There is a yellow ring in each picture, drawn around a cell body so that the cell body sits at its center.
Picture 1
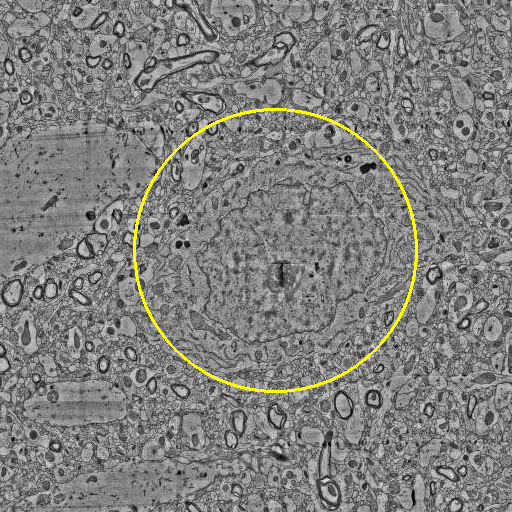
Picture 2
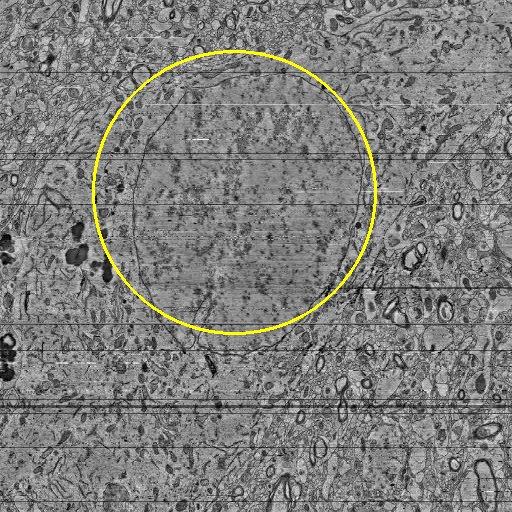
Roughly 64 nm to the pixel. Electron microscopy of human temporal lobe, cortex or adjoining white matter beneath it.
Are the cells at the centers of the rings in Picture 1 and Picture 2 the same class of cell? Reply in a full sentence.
No, the two cells are two classes of cell.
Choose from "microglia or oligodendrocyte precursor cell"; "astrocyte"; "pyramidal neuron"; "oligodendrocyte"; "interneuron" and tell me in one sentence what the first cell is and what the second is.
What the first ring is centred on is an interneuron; what the second ring is centred on is a pyramidal neuron.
